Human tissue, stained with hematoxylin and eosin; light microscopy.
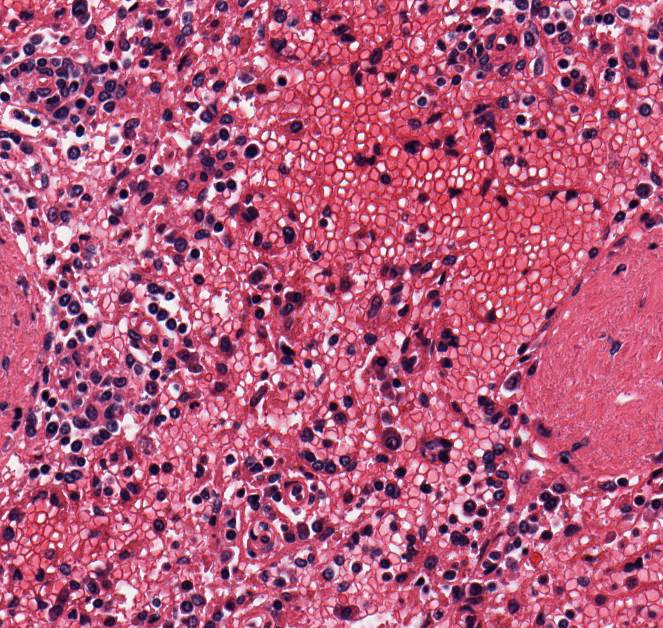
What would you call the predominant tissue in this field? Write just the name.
red pulp of the spleen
